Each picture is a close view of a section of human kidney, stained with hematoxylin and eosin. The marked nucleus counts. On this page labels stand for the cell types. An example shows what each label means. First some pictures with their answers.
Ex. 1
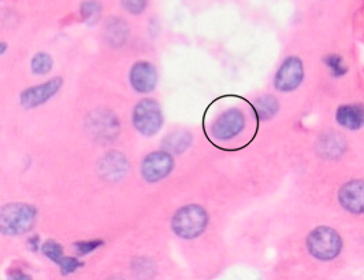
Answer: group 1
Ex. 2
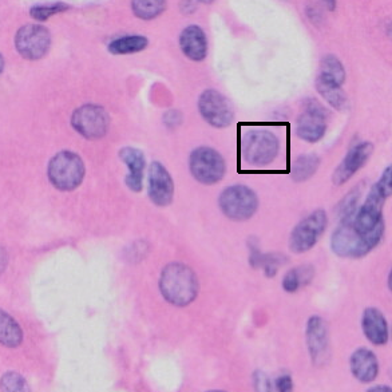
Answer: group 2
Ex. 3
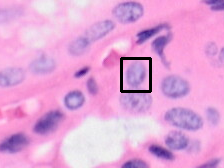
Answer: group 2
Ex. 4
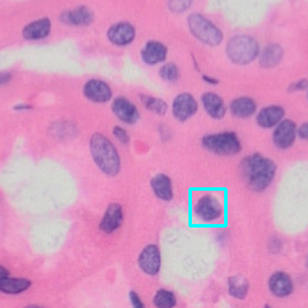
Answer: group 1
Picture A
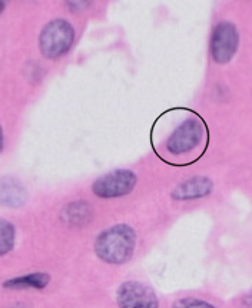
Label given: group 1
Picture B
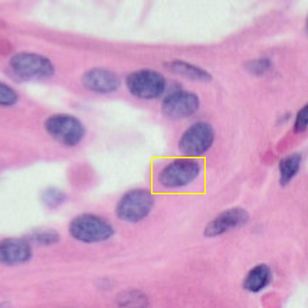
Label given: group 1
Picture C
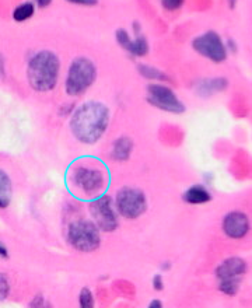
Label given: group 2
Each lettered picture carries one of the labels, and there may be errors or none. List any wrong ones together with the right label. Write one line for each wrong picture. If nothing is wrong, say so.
None of the labels needs changing.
